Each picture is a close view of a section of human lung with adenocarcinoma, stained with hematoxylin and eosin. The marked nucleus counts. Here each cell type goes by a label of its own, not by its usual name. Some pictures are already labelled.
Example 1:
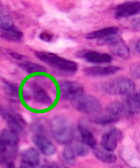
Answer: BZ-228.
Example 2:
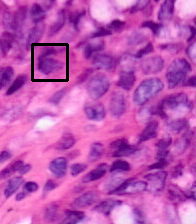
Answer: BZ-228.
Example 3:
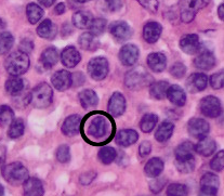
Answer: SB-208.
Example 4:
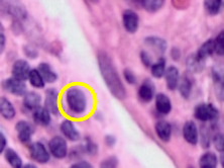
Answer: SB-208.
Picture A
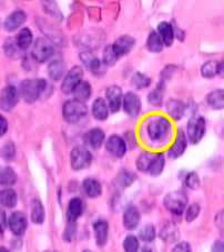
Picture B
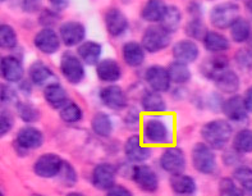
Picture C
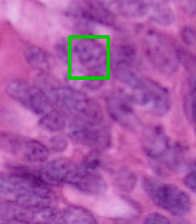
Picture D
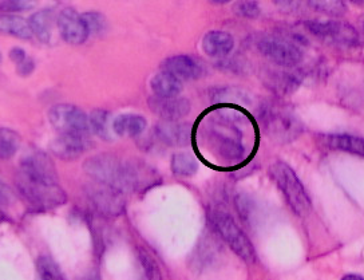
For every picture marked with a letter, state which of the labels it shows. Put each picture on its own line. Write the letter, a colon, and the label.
A: SB-208.
B: SB-208.
C: BZ-228.
D: BZ-228.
